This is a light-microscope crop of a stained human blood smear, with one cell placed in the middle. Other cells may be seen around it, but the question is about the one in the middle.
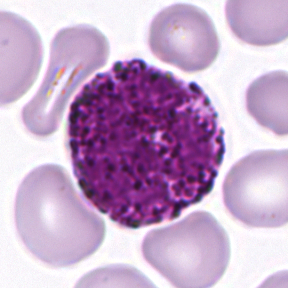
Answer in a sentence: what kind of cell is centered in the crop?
The middle of this crop is occupied by a basophil.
